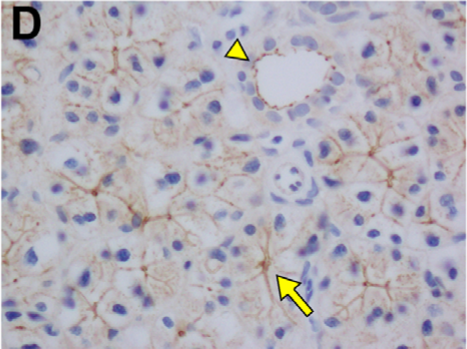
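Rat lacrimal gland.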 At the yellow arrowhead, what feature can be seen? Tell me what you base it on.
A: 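Ducts. A round open lumen lined by a ring of cells. Brown staining lining the lumen.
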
